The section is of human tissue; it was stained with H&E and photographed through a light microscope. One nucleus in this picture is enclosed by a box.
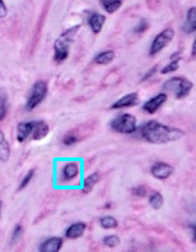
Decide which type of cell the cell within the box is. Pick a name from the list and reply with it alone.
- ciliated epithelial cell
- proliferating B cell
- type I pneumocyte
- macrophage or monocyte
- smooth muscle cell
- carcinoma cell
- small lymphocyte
smooth muscle cell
